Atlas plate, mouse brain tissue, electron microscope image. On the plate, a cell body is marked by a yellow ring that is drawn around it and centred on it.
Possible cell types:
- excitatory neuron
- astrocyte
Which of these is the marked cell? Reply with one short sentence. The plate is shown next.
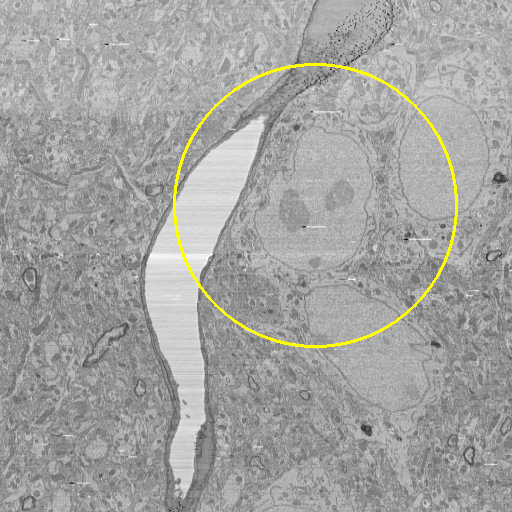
The marked cell is an excitatory neuron.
